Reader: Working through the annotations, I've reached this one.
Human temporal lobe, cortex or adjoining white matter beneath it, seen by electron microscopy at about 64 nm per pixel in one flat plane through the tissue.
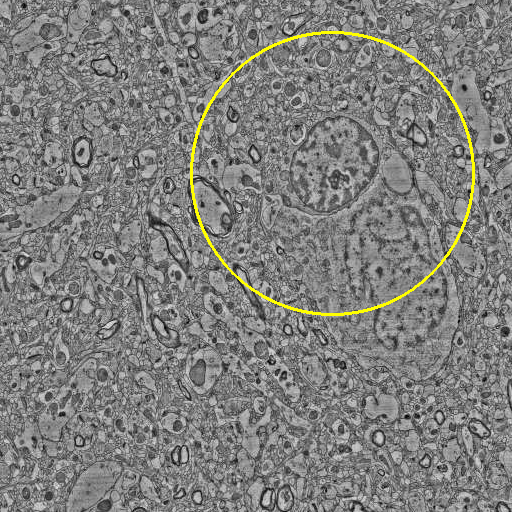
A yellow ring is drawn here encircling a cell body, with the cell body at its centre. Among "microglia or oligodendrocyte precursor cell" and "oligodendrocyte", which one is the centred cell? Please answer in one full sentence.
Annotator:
The cell body at the centre of the yellow ring in this image belongs to an oligodendrocyte.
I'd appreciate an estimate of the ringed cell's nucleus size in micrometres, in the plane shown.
The nucleus appears about 6 micrometres across in this plane.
